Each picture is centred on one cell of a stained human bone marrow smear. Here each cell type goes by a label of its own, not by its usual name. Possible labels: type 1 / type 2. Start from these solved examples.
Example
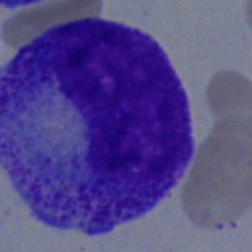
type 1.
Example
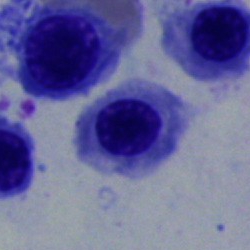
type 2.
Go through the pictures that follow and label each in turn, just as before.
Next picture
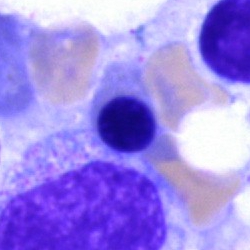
type 2.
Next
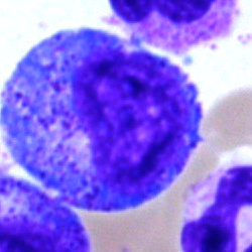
type 1.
